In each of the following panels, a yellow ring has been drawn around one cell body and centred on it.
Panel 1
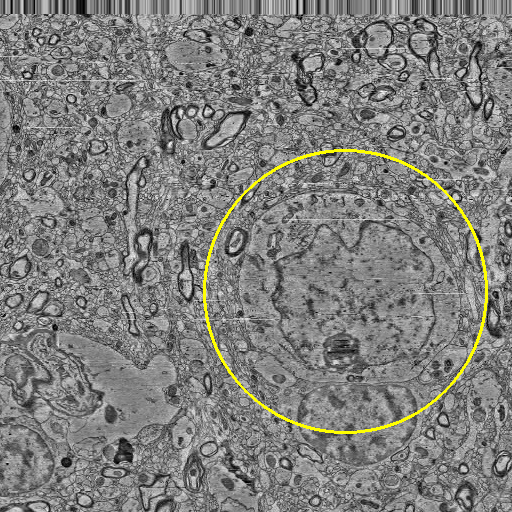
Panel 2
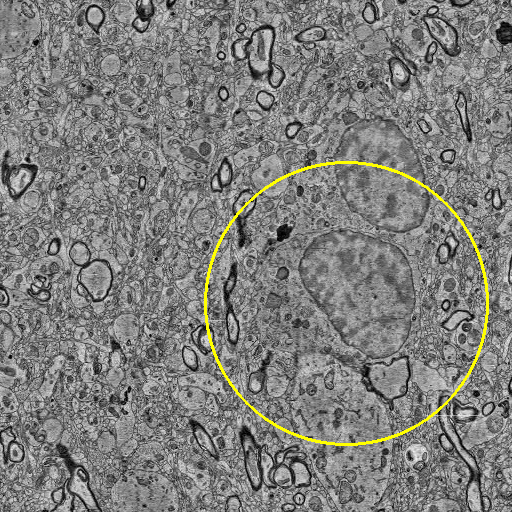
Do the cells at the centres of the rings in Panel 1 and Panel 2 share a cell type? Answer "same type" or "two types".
two types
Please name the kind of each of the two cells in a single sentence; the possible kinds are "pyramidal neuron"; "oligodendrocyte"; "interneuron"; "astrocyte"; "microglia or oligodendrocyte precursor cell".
In the first picture the ring is centred on an interneuron, and in the second on an oligodendrocyte.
